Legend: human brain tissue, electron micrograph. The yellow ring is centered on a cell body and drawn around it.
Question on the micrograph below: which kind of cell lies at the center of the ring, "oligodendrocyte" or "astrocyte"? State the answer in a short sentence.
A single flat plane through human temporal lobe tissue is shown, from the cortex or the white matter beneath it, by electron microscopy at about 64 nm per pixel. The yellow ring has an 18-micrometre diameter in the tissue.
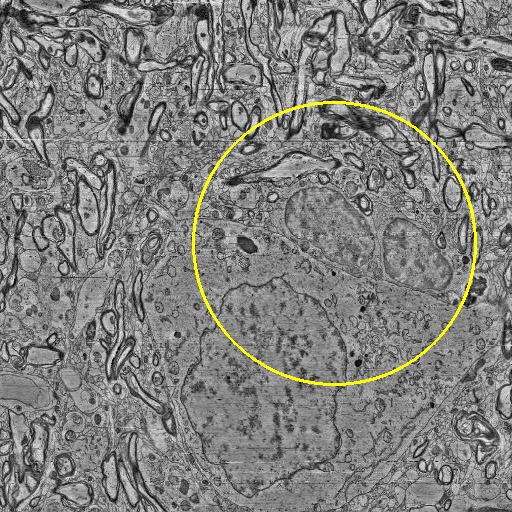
At the center of the ring lies an oligodendrocyte.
